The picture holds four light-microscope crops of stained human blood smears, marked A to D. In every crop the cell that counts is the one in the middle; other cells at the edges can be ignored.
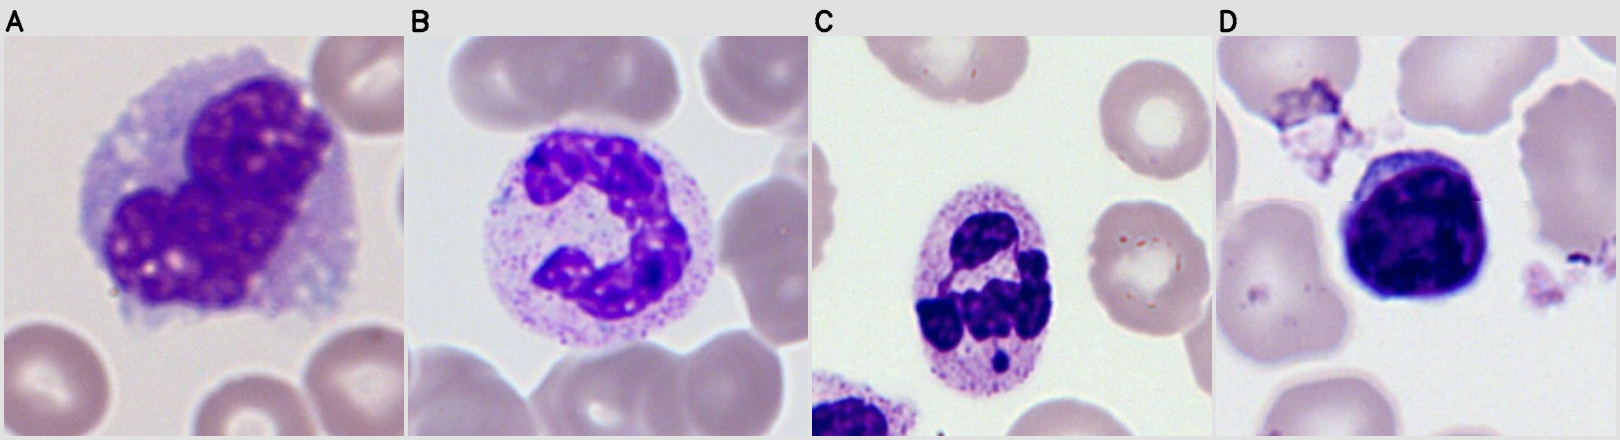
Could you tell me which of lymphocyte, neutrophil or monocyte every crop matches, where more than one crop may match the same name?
A: monocyte
B: neutrophil
C: neutrophil
D: lymphocyte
